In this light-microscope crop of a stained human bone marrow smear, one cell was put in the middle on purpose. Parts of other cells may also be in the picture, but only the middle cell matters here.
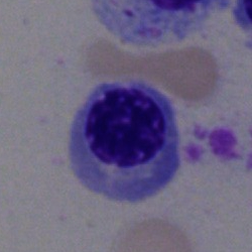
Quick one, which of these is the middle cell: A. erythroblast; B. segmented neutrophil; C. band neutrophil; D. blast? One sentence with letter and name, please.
The cell placed in the middle is an erythroblast; option A is correct.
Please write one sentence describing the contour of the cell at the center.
Around its whole circumference the outline stays smooth, free of projections.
